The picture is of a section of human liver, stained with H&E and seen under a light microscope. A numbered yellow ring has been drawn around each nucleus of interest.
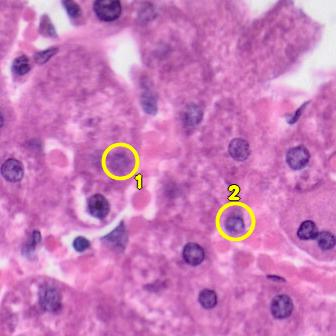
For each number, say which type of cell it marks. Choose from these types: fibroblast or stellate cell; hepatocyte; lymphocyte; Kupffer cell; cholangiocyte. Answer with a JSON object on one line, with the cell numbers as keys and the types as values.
{"1": "hepatocyte", "2": "Kupffer cell"}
